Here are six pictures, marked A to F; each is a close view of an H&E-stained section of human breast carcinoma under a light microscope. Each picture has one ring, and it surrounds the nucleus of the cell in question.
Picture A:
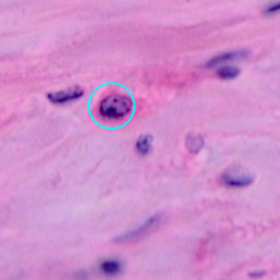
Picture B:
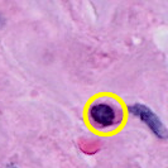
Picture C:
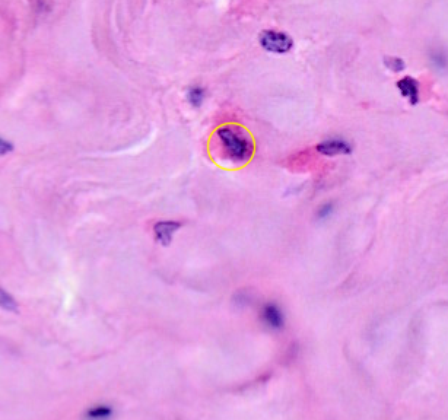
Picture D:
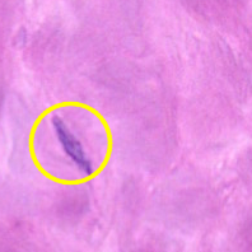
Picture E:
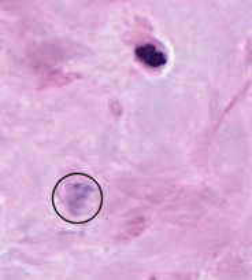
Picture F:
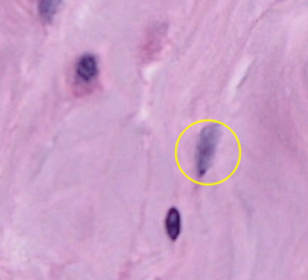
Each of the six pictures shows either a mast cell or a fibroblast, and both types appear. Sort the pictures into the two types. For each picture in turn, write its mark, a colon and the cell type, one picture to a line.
A: mast cell
B: mast cell
C: mast cell
D: fibroblast
E: fibroblast
F: fibroblast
